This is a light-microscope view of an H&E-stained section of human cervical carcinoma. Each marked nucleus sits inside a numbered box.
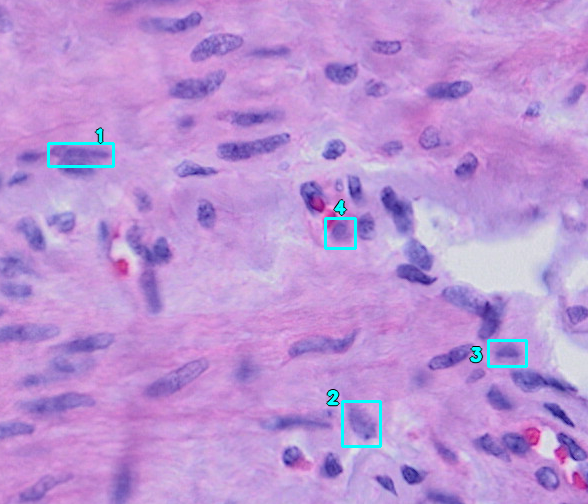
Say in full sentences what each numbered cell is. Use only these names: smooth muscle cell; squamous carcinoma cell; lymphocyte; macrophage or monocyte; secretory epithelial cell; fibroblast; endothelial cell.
Cells 1, 2 and 3 are fibroblasts. Cell 4 is an endothelial cell.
